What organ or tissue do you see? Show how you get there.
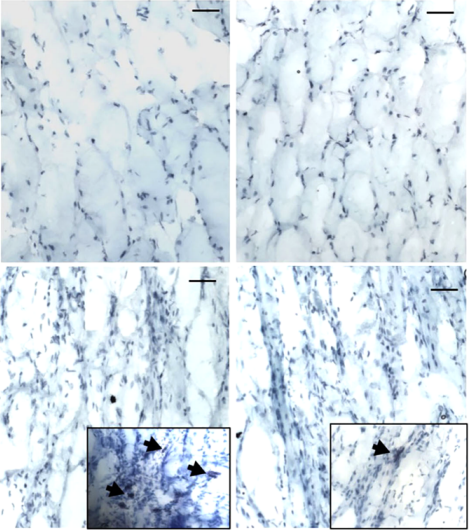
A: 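Muscle. Large pale polygonal profiles separated by thin strands of connective tissue. Elongated dark nuclei lie at the edges of the pale profiles.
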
